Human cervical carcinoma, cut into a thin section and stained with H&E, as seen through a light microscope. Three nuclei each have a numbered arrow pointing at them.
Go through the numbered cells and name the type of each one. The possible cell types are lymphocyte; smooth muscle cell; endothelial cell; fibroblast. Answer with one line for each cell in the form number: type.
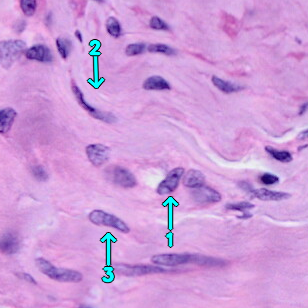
1: endothelial cell
2: fibroblast
3: fibroblast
